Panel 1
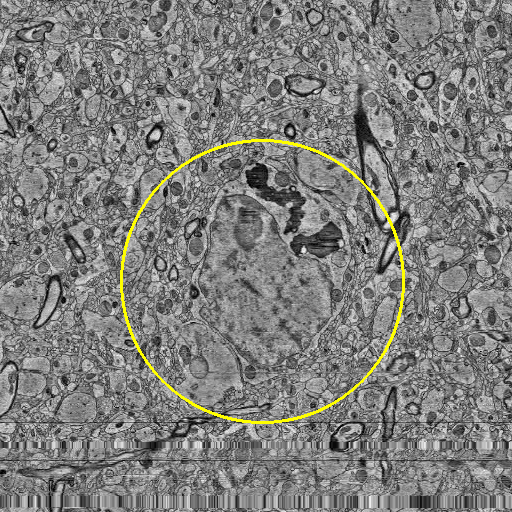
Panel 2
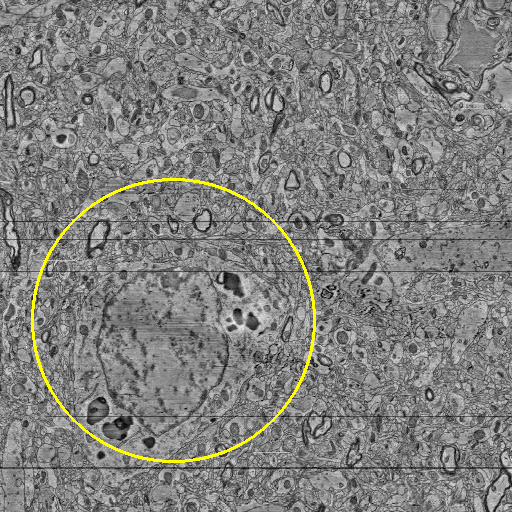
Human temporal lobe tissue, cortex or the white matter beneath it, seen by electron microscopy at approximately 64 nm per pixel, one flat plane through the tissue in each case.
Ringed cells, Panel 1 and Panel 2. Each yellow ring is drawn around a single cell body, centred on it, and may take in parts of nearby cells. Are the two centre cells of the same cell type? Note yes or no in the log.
yes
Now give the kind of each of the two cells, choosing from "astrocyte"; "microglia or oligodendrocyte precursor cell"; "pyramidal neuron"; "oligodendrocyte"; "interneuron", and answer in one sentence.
Each cell at the centre of a ring is an interneuron.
